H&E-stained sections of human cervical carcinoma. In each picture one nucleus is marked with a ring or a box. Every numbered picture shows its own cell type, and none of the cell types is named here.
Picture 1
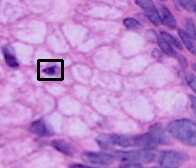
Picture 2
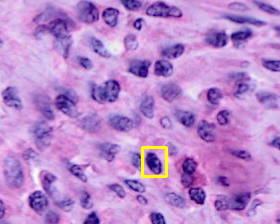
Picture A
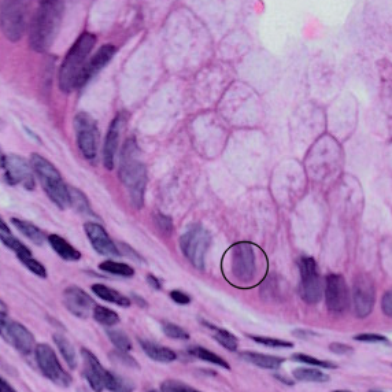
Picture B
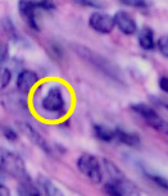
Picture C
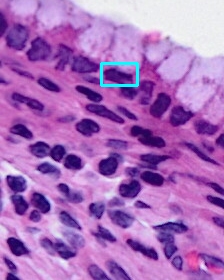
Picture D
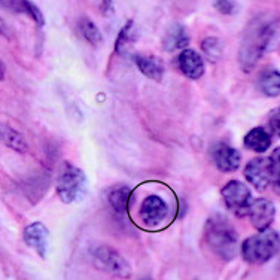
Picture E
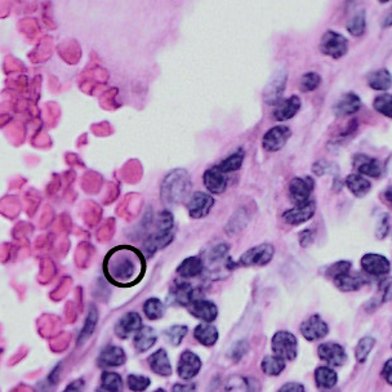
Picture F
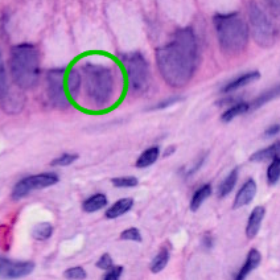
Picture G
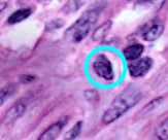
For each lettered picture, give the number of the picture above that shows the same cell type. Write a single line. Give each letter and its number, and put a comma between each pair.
A 1, B 2, C 1, D 2, E 2, F 1, G 2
